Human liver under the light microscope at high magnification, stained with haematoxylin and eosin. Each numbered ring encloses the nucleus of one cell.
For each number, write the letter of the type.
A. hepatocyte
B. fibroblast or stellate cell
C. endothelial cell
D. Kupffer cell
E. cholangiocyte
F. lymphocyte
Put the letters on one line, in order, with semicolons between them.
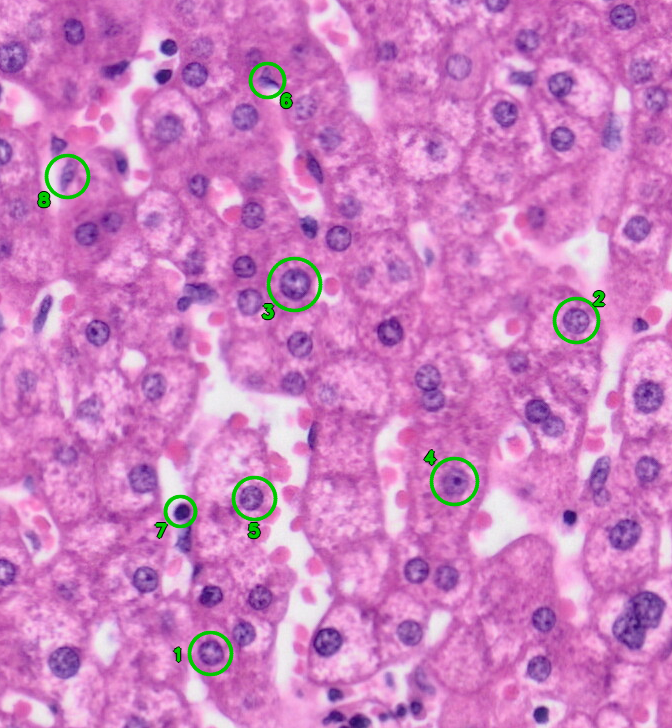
A; A; A; A; A; C; F; D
